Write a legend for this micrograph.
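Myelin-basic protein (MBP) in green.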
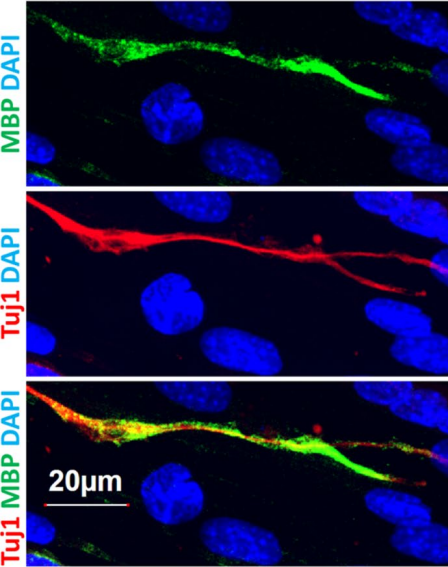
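This shows a single axon in red running diagonally between oval blue nuclei. Green staining lies along the same stretch of the process, thickest over a spindle-shaped swelling, and in the merged view it overlaps the red fibre, appearing yellow where both coincide.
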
